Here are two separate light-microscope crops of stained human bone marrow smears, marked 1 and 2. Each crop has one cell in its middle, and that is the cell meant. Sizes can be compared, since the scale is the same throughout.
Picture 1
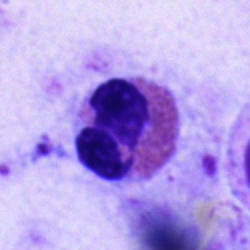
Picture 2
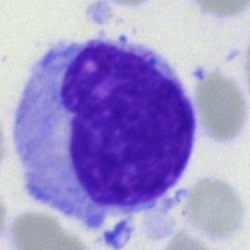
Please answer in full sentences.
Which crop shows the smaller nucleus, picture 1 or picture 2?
The nucleus in picture 1 is smaller; the one in picture 2 has about 3 times its area.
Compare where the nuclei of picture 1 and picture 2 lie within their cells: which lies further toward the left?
The nucleus in picture 1 lies further toward the left of its cell.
